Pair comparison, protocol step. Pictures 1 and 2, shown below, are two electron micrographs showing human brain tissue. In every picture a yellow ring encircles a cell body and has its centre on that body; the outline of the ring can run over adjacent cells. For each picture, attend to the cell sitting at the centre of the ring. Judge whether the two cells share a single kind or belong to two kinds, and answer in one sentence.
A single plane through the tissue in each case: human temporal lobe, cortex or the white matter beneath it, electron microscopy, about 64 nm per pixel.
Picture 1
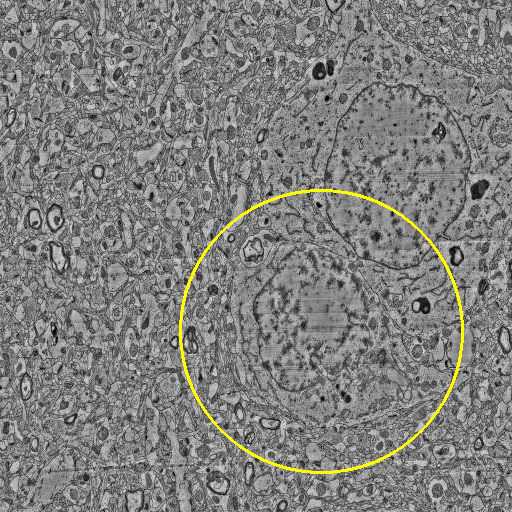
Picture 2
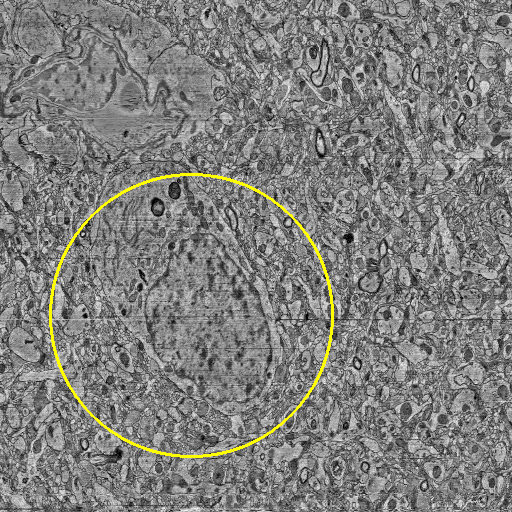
The two cells at the ring centres in Picture 1 and Picture 2 share a single kind.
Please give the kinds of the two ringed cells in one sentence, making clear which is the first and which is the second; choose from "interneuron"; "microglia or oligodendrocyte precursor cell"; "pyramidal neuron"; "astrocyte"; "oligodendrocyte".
The cell in the first picture is an interneuron, and so is the one in the second.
